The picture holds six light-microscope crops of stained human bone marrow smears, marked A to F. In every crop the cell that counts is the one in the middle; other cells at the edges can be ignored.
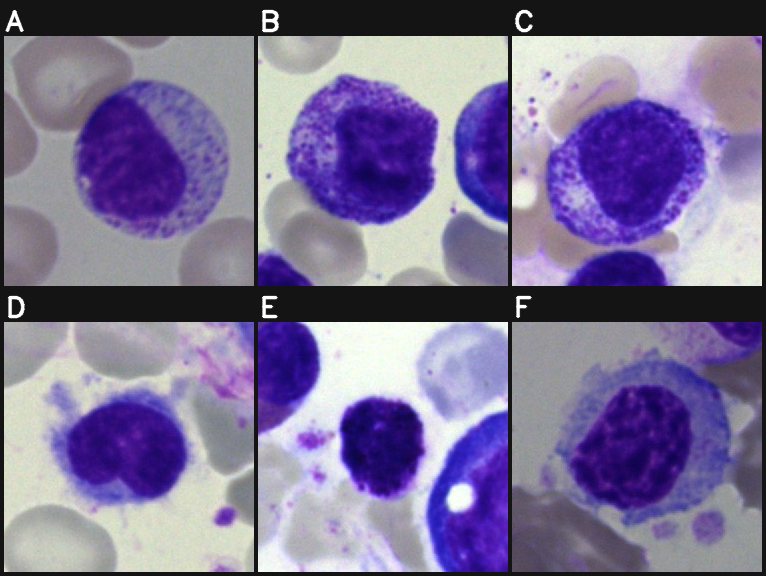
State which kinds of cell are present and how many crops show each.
myelocyte: 3
hairy cell: 2
basophil: 1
